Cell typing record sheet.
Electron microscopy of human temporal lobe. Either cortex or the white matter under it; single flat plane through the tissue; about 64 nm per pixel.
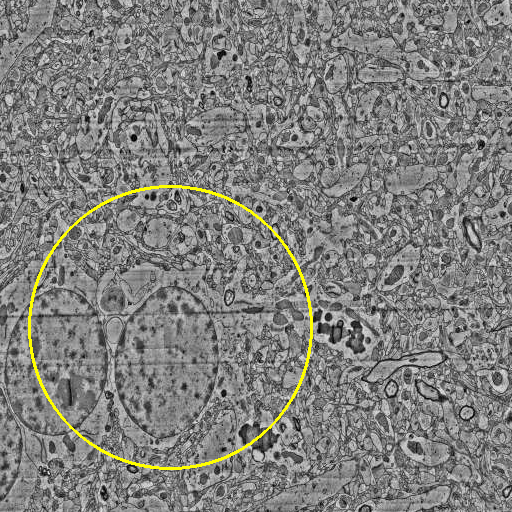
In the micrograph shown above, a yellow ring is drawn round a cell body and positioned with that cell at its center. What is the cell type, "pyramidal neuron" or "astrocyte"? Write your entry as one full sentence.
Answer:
The cell body at the center of the ring belongs to an astrocyte.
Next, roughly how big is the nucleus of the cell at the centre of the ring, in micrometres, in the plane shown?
Approximately 10 by 7 micrometers in this plane.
